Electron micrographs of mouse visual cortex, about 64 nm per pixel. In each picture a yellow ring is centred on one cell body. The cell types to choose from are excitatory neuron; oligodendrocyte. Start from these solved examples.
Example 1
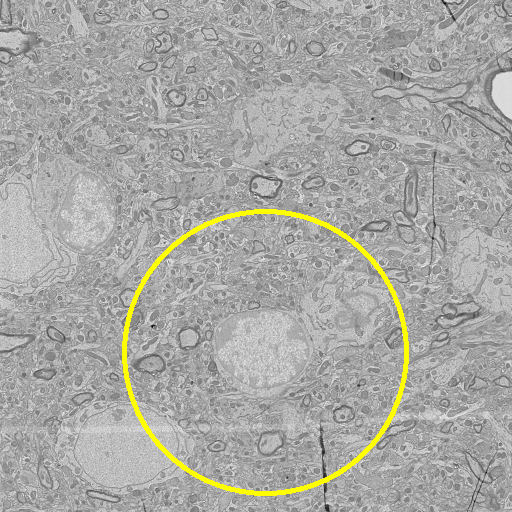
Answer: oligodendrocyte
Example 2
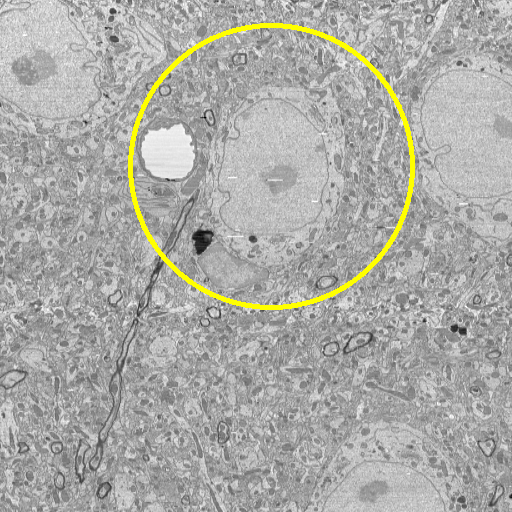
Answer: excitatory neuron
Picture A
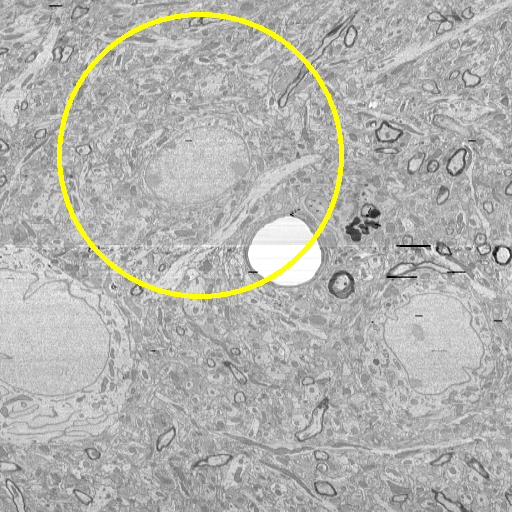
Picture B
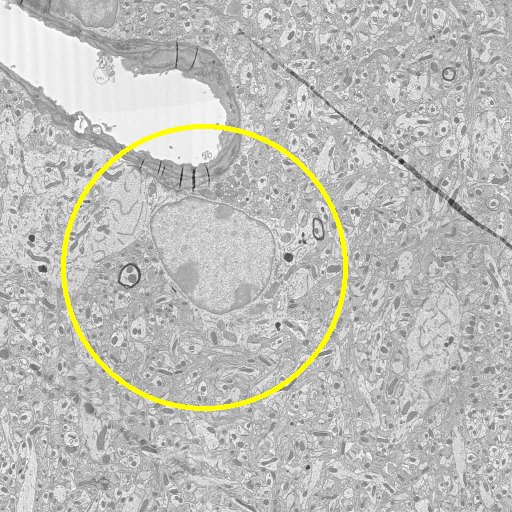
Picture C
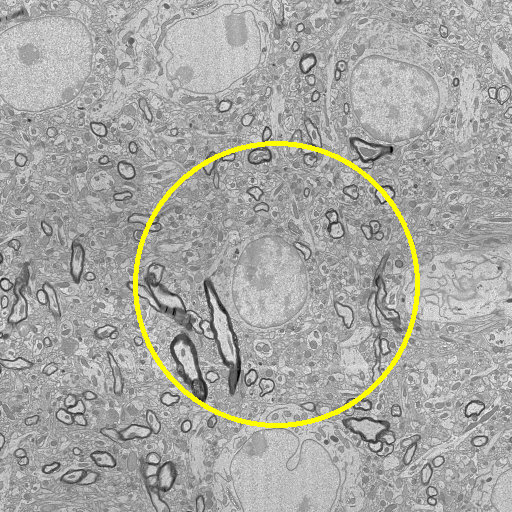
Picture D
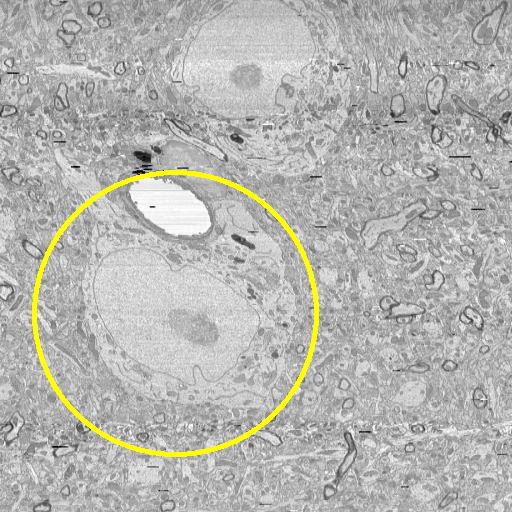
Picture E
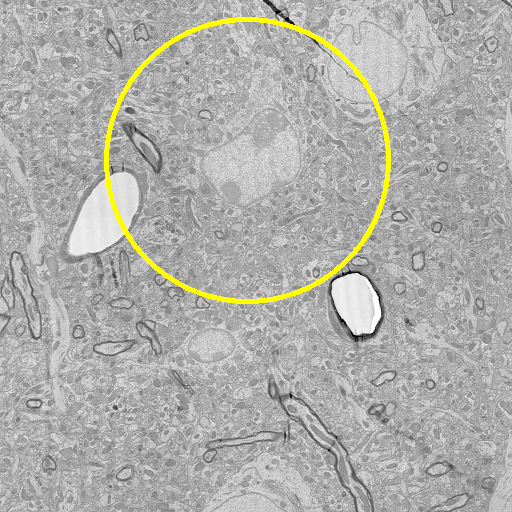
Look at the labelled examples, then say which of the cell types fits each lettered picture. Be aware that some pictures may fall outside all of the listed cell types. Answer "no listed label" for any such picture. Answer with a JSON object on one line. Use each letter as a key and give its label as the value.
{"A": "no listed label", "B": "no listed label", "C": "oligodendrocyte", "D": "excitatory neuron", "E": "no listed label"}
